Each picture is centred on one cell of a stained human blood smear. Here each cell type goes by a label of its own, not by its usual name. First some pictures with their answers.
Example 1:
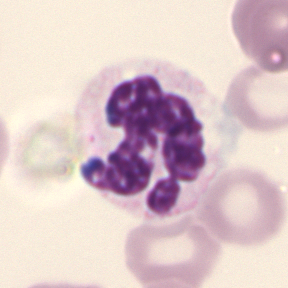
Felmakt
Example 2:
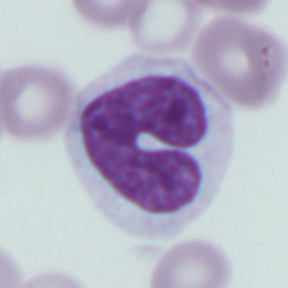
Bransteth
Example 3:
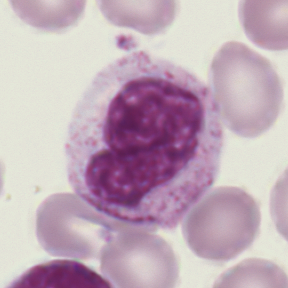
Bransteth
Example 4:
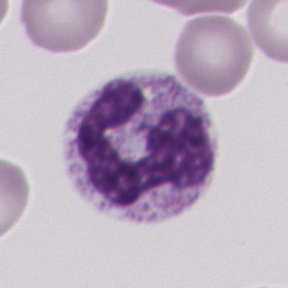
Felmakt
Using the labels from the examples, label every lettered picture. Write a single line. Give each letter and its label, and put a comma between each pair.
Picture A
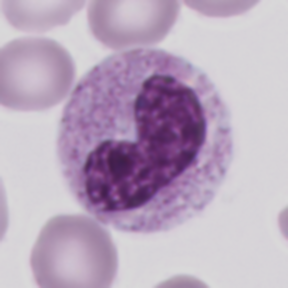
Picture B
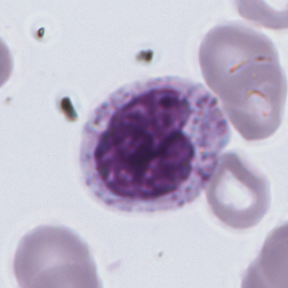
A Bransteth, B Bransteth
